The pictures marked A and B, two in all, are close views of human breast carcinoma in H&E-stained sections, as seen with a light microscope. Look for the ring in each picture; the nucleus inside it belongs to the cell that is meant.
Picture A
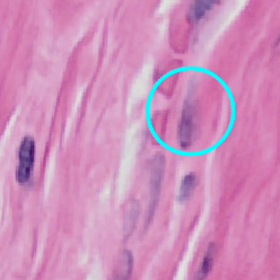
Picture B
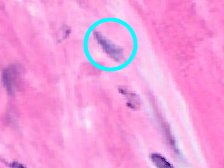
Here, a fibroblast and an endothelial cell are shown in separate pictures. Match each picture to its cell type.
A: endothelial cell
B: fibroblast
